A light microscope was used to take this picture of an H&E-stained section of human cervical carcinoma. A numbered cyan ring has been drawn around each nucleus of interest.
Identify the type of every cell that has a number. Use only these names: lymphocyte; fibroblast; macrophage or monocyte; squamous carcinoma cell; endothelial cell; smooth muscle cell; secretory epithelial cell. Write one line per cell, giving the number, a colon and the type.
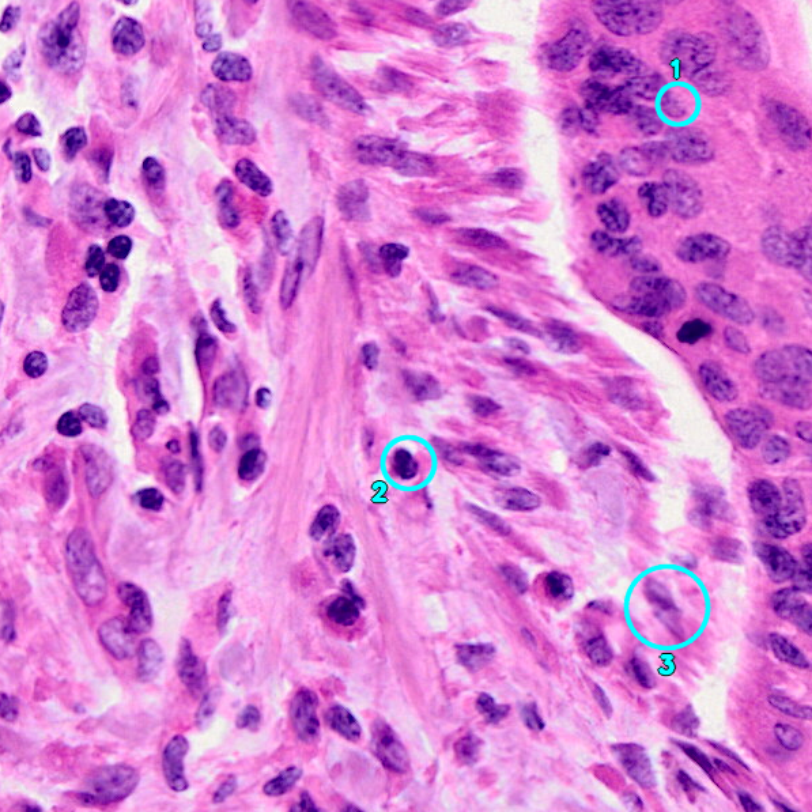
1: squamous carcinoma cell
2: lymphocyte
3: fibroblast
